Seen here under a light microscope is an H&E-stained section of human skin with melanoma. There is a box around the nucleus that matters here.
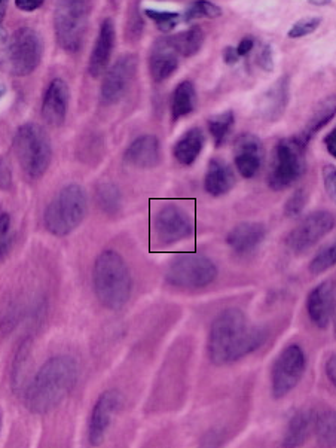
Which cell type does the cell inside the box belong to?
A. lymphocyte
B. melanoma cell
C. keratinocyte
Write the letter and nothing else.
C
